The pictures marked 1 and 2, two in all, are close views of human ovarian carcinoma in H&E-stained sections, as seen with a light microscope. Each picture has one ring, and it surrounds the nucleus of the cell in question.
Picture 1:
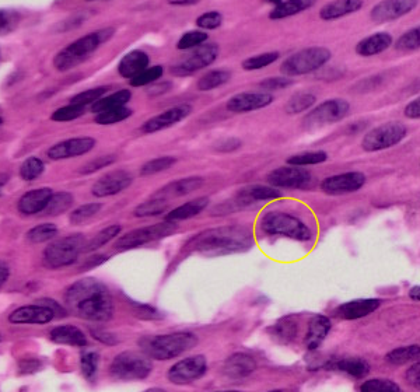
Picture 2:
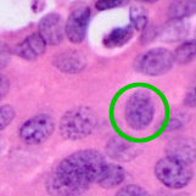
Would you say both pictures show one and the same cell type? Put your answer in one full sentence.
No, the types are not the same, since picture 1 shows a “macrophage or monocyte” and picture 2 a carcinoma cell.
